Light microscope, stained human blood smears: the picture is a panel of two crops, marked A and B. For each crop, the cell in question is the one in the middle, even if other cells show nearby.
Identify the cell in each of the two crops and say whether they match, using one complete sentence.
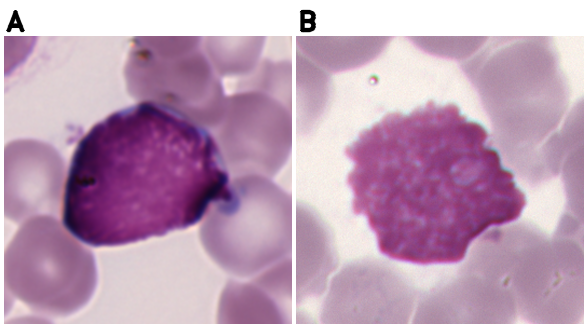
Yes, the cells centred in the two crops are both smudge cells.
